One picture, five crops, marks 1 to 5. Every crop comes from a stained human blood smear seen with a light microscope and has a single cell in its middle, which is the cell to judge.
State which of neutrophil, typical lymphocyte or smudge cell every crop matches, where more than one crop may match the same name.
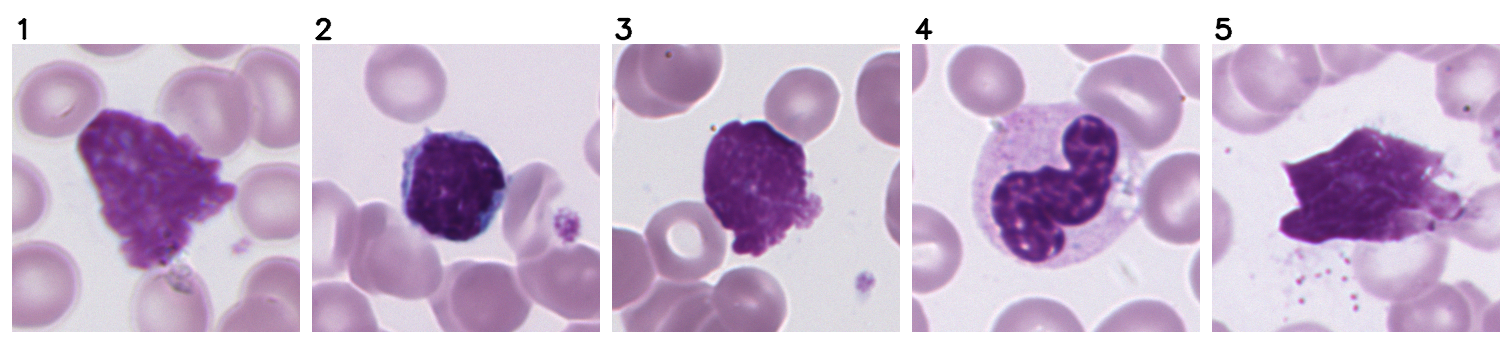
1: smudge cell
2: typical lymphocyte
3: smudge cell
4: neutrophil
5: smudge cell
